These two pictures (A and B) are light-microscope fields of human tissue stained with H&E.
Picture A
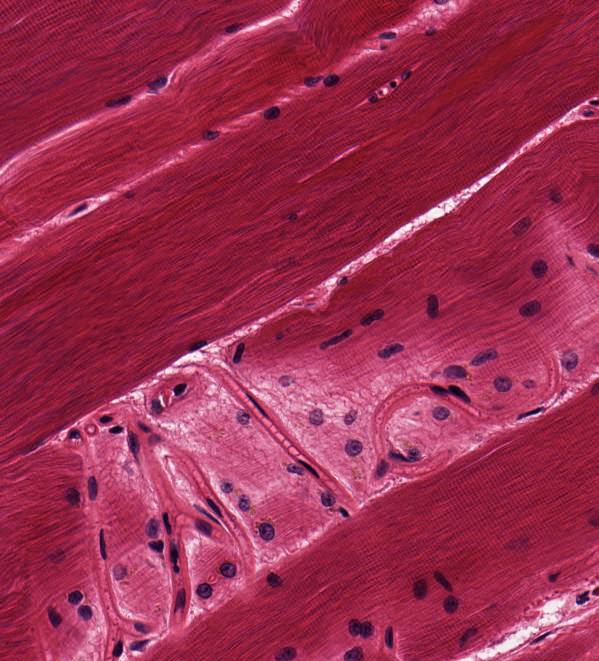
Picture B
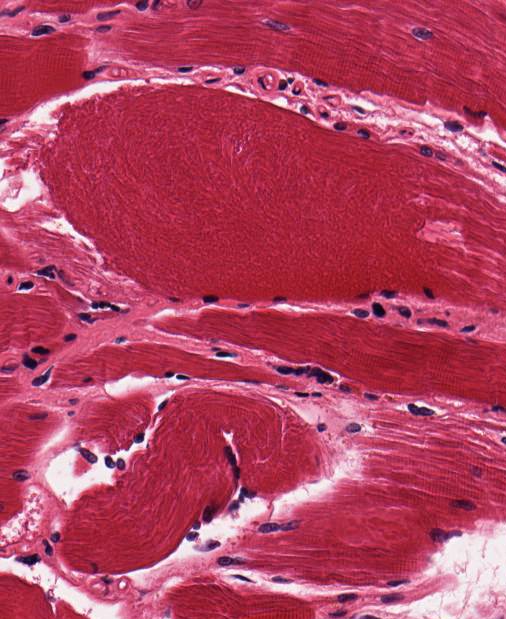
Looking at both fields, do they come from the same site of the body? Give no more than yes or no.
yes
